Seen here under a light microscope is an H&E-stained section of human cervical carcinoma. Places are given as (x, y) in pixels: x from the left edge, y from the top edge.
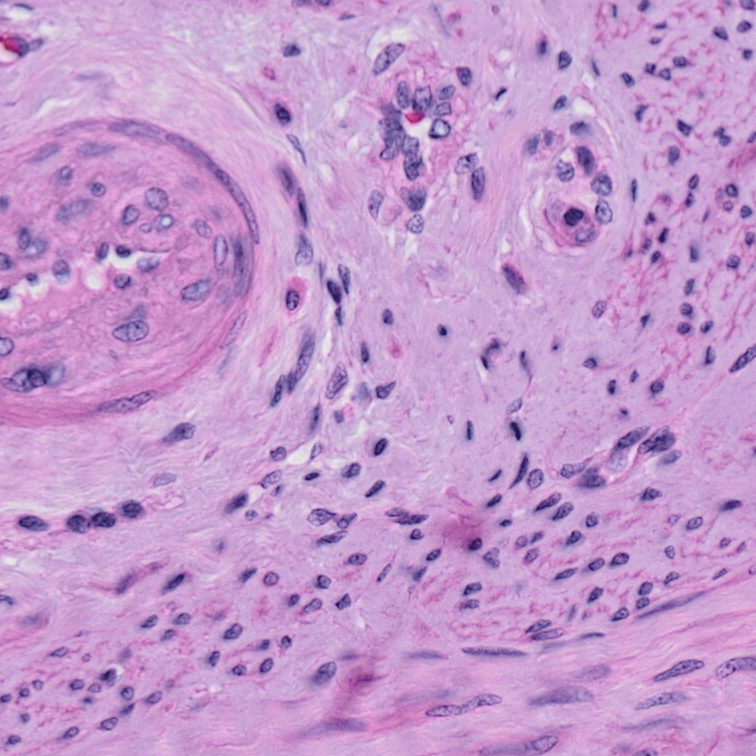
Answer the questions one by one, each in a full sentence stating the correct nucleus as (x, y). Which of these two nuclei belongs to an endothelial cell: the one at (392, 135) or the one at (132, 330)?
It is at (392, 135) that the nucleus of an endothelial cell is found.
